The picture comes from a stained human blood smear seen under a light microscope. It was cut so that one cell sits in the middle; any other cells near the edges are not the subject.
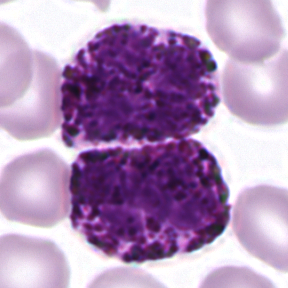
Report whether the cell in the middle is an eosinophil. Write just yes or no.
no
